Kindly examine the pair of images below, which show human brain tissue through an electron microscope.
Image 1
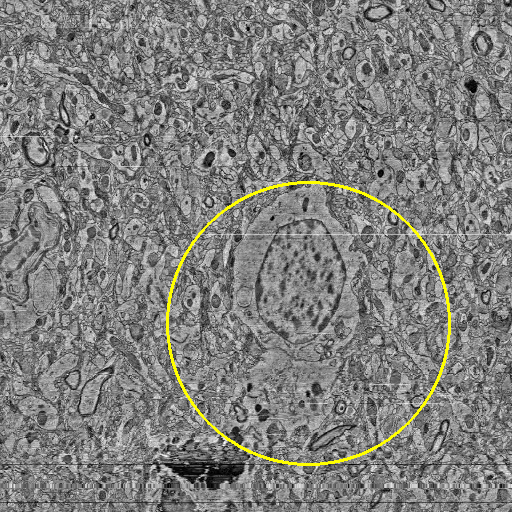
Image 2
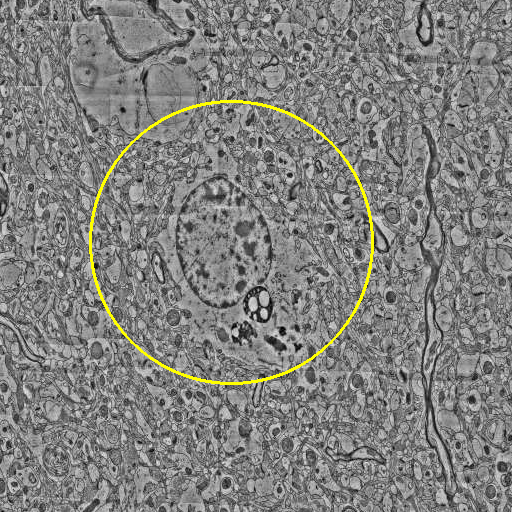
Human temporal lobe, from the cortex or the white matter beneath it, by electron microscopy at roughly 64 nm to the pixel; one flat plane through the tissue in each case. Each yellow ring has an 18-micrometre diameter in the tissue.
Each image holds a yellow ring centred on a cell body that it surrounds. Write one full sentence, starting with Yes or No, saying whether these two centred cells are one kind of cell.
Yes, both cells at the centres of the yellow rings belong to one kind of cell.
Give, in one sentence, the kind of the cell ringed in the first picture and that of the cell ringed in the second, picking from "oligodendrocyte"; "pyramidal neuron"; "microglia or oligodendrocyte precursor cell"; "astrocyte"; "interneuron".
Each one of the two ringed cells is an astrocyte.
